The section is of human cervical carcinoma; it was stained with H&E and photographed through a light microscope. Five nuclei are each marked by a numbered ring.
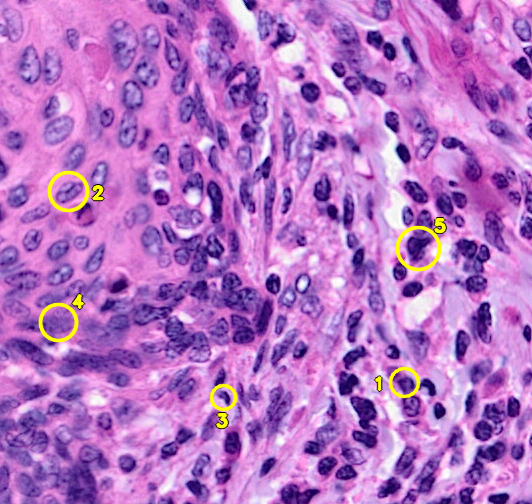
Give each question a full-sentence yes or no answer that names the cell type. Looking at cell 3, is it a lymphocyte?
Yes, the cell with its nucleus marked 3 is a lymphocyte.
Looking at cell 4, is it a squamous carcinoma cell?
Yes, and to answer plainly, cell 4 is a squamous carcinoma cell.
